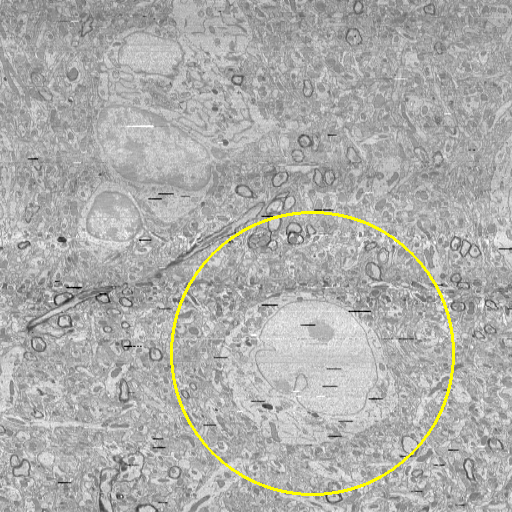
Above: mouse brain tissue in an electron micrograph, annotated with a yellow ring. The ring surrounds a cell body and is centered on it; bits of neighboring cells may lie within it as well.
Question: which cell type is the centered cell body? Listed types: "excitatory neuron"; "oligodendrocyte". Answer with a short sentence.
The centered cell body is an excitatory neuron.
